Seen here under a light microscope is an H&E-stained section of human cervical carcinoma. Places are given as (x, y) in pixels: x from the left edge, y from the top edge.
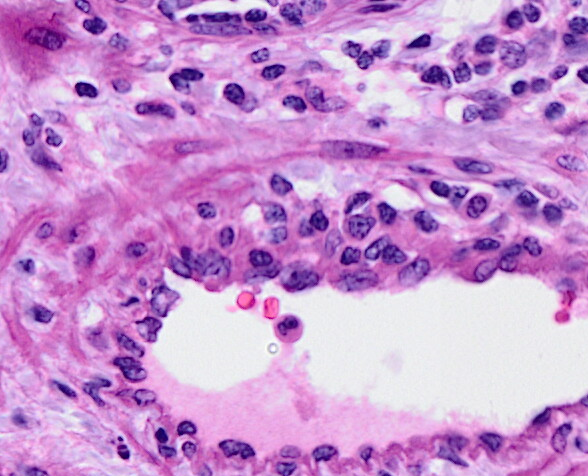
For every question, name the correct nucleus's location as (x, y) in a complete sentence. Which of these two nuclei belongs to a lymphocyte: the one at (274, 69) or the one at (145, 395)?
As for which of the two, the nucleus at (274, 69) belongs to a lymphocyte.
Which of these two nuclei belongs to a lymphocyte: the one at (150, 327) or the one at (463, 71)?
The nucleus at (463, 71) is part of a lymphocyte, while the other is not.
